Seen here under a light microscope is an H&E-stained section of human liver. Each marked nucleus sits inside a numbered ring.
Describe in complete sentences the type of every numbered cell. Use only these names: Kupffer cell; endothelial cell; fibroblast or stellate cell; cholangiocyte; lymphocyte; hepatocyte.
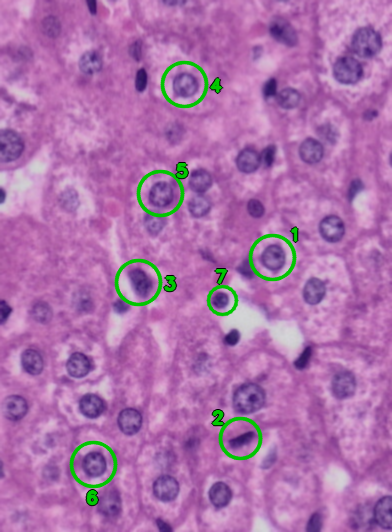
Cells 1, 4, 5 and 6 are hepatocytes. Cell 2 is a fibroblast or stellate cell. Cell 3 is a Kupffer cell. Cell 7 is a lymphocyte.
